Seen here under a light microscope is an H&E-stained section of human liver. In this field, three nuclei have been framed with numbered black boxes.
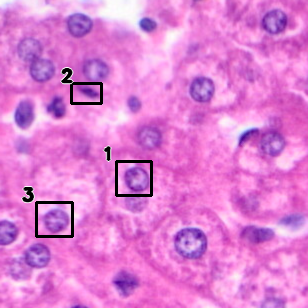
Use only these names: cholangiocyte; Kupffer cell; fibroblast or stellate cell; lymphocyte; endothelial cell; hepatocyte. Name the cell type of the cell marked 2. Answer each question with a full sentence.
The cell pointed out by number 2 is a fibroblast or stellate cell.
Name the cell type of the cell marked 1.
The nucleus labeled 1 belongs to a hepatocyte.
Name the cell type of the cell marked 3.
In this section, the cell numbered 3 is a hepatocyte.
